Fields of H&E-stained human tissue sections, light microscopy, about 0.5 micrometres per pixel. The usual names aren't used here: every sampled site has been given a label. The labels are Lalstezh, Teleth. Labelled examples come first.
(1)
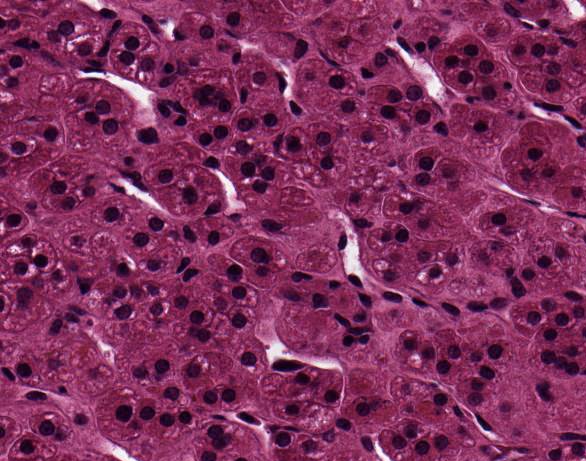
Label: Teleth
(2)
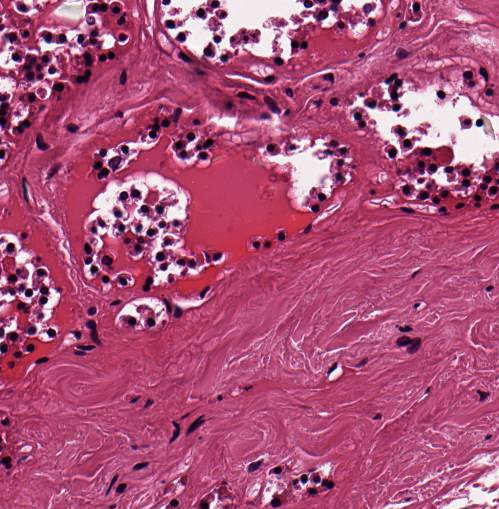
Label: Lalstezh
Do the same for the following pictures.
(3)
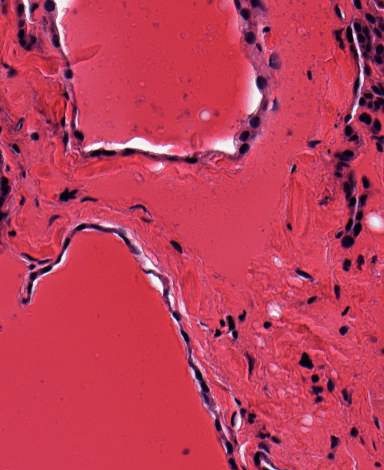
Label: Lalstezh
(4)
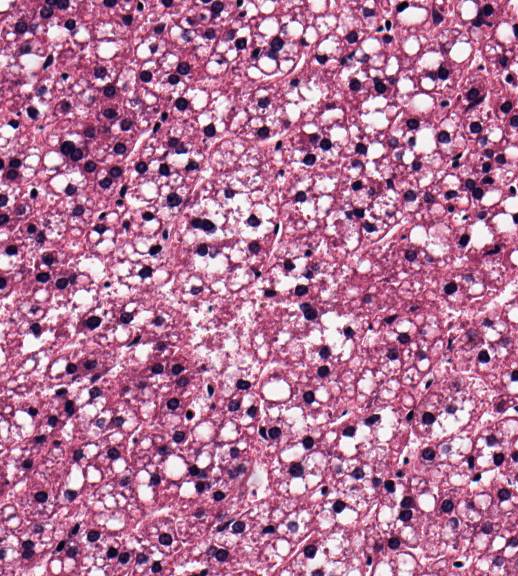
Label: Teleth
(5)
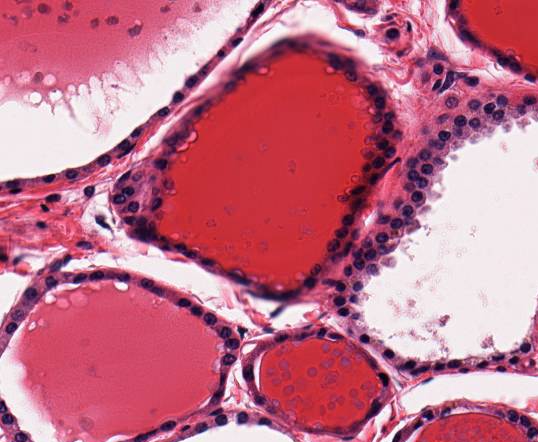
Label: Lalstezh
